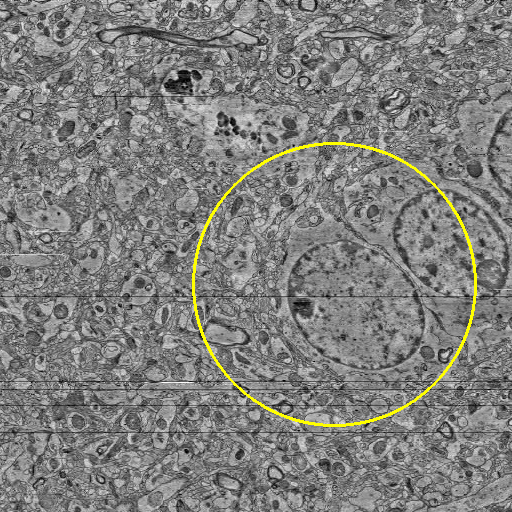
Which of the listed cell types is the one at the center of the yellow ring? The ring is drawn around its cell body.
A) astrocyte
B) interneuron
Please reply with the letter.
A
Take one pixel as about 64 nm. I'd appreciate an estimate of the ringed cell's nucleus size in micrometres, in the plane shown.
About 9 by 8 micrometers, in this plane.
